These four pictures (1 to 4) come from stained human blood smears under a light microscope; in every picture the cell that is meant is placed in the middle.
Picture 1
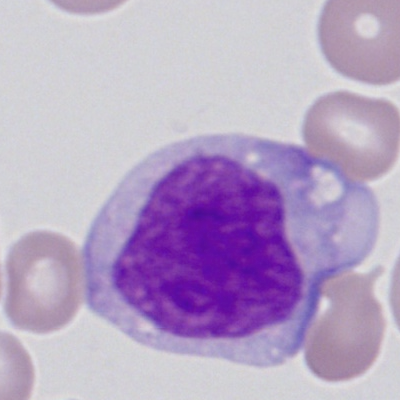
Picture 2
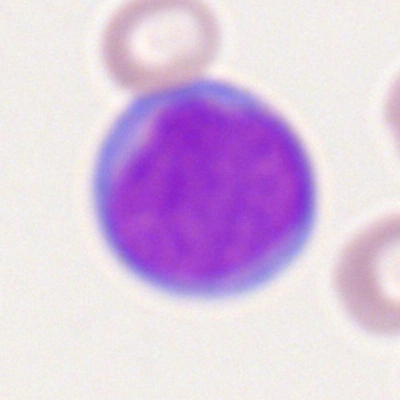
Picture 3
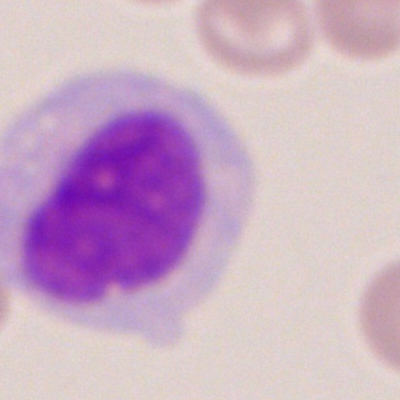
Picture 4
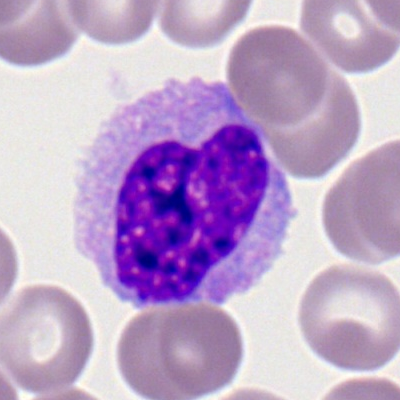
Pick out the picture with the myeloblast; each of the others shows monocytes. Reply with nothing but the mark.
2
